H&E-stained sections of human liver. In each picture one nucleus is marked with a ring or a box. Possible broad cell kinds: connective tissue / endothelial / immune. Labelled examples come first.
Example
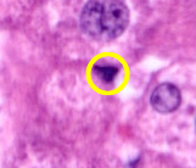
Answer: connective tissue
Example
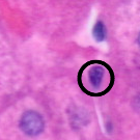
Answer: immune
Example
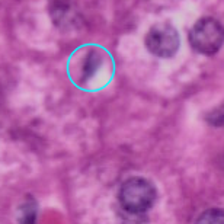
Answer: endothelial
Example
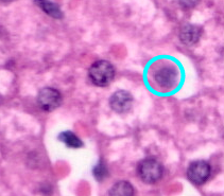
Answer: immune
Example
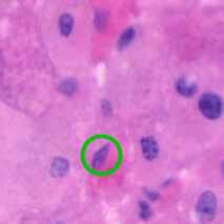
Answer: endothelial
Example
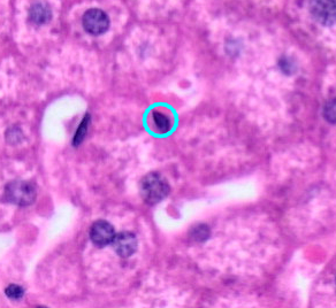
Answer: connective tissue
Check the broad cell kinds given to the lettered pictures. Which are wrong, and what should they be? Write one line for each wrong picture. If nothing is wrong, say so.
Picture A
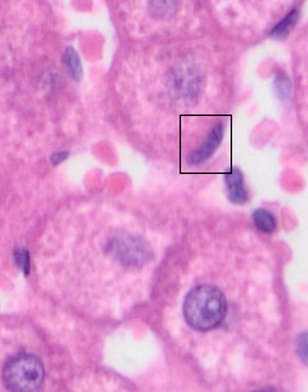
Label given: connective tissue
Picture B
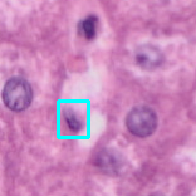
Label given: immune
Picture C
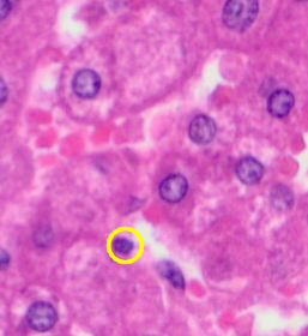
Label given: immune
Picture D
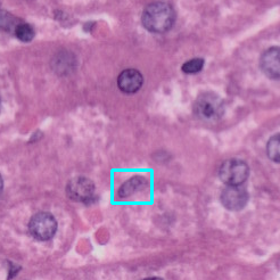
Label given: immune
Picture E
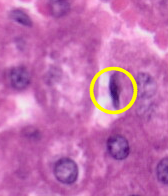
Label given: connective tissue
E: not connective tissue but endothelial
